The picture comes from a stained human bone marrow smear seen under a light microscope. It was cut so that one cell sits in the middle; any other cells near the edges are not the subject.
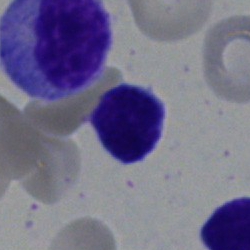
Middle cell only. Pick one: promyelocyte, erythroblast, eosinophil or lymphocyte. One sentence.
The central element of this crop is a cell, namely a lymphocyte.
